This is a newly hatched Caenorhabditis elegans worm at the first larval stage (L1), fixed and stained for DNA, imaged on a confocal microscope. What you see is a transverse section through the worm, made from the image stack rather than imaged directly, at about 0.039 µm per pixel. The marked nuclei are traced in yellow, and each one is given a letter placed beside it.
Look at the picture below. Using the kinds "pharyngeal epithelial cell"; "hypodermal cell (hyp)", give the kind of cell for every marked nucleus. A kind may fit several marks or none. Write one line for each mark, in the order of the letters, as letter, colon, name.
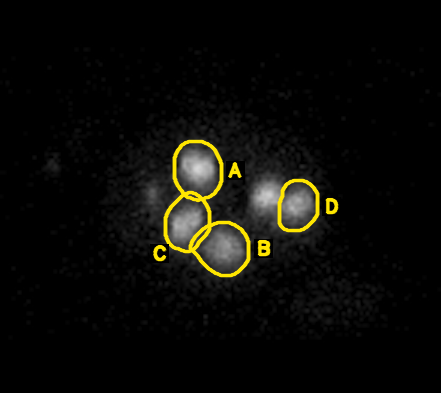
A: pharyngeal epithelial cell
B: hypodermal cell (hyp)
C: pharyngeal epithelial cell
D: hypodermal cell (hyp)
